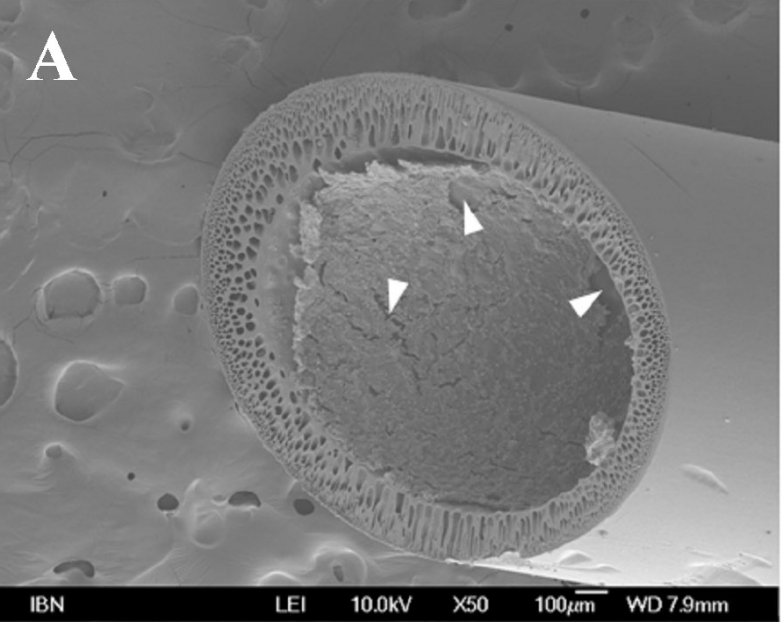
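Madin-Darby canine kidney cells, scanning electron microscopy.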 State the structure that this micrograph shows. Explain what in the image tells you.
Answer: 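A cut end of a tube is seen in cross-section. The tube wall is porous with radially elongated cavities. The answer: hollow fiber membrane.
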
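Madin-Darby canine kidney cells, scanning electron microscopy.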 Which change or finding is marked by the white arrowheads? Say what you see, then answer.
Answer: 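Cracks. Thin dark branching lines run across the sheet covering the tube's inner surface near the arrowheads. The sheet's edges are lifted and broken at places along the tube wall.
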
